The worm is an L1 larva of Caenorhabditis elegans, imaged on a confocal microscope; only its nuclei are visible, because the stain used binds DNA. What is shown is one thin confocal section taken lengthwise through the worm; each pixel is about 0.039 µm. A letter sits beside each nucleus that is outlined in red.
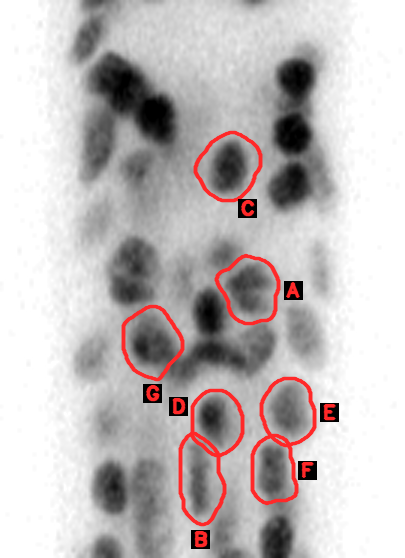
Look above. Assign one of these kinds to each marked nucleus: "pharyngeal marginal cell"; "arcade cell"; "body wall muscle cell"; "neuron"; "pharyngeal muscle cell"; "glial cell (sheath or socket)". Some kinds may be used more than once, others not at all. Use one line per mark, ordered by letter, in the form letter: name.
A: pharyngeal muscle cell
B: pharyngeal muscle cell
C: neuron
D: neuron
E: body wall muscle cell
F: glial cell (sheath or socket)
G: pharyngeal marginal cell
